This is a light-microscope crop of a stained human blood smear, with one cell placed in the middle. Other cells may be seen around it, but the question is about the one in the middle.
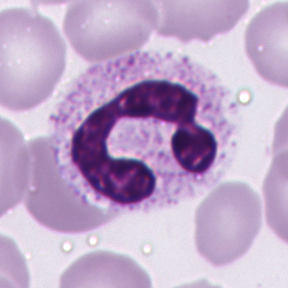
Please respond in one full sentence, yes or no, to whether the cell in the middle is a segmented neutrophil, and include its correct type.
Yes, the cell in the exact middle is a segmented neutrophil.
